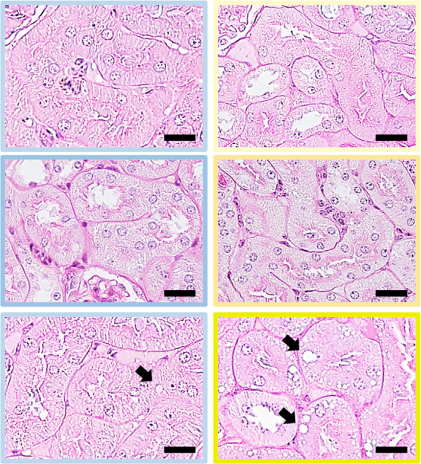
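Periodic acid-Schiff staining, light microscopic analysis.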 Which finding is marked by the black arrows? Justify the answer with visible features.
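The black arrows in the bottom row point to small clear round spaces in the tubular epithelial cytoplasm.
Answer: Microvacuoles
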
